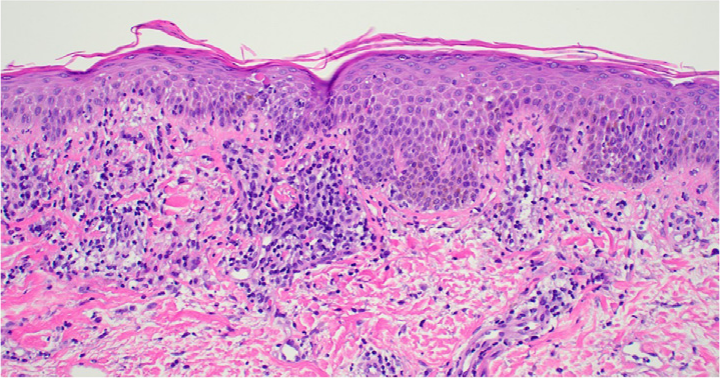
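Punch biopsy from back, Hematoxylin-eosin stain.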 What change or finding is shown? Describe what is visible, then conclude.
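Many small dark round nuclei crowd the upper dermis. The dense cell collection lies against the underside of the epidermis on the left. Scattered small dark cells lie between collagen bundles and around vessels lower in the dermis. That points to this answer: superficial perivascular and interstitial inflammatory cell infiltrate.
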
